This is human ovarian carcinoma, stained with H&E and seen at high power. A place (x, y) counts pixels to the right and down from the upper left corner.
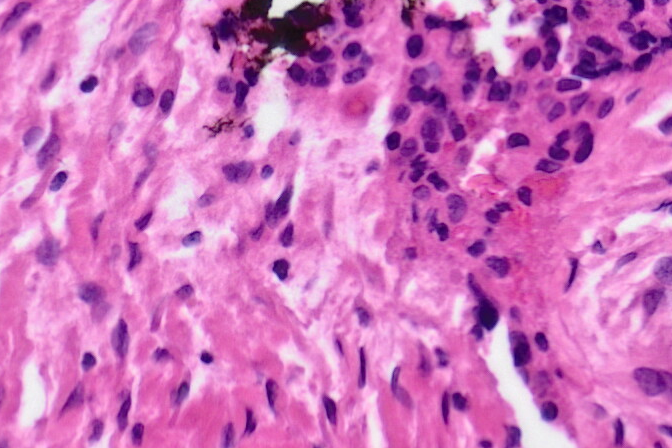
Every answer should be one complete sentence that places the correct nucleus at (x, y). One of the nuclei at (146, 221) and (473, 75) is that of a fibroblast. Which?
Of the two nuclei, the one sitting at (146, 221) belongs to a fibroblast.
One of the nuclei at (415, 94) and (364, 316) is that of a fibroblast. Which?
The nucleus at (364, 316) belongs to a fibroblast, which distinguishes it from the other nucleus.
